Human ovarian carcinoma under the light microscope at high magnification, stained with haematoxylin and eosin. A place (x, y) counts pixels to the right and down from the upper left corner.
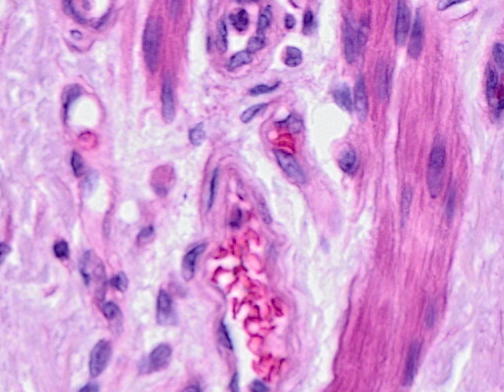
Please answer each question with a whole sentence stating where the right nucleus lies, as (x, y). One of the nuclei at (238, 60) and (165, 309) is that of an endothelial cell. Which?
In this pair, the nucleus at (238, 60) belongs to an endothelial cell.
